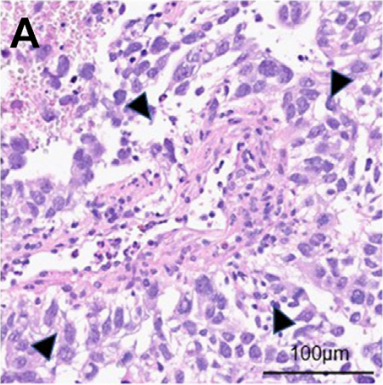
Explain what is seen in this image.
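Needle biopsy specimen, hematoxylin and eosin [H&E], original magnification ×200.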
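Malignant tumor composed of large atypical epithelial cells with big, hyperchromatic, vesicular nuclei and moderate pale to pink cytoplasm. The cells are arranged in cords and loose clusters along thin stromal strands and around spaces, with red blood cells in one corner.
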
